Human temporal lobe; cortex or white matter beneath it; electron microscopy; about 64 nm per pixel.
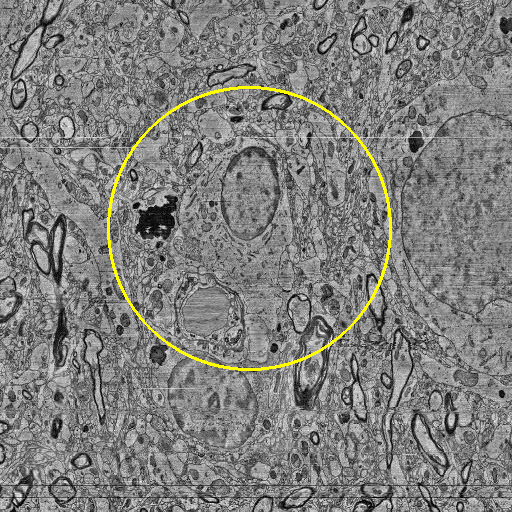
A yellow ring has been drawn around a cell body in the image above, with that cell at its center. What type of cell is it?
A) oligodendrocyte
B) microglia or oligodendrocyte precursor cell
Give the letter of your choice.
B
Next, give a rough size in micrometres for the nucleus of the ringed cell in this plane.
In this plane the nucleus is roughly 6 by 4 micrometres, clearly longer than it is wide.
